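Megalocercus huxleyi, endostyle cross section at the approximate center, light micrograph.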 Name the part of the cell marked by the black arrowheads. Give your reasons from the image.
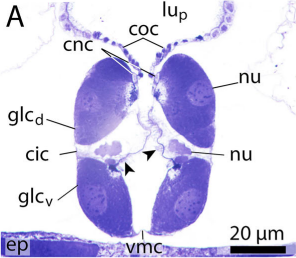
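Fine hair-like projections extend into the central lumen from the narrow cells between the large dark cells. The arrowheads point at these projections in the lumen. On this evidence: cilia from ciliated cells.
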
